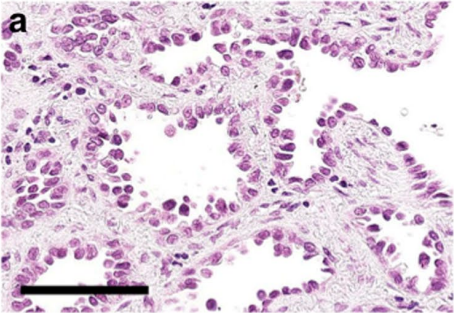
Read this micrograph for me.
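This is lung tissue in which tumour cells line thin alveolar septa in a single layer, leaving the air spaces open. The cells are cuboidal to columnar with round to oval, dark purple nuclei, some crowded and slightly overlapping, and scant pink cytoplasm. The septa themselves are thin and pale, made of loose fibrous tissue with a few spindle cells.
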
